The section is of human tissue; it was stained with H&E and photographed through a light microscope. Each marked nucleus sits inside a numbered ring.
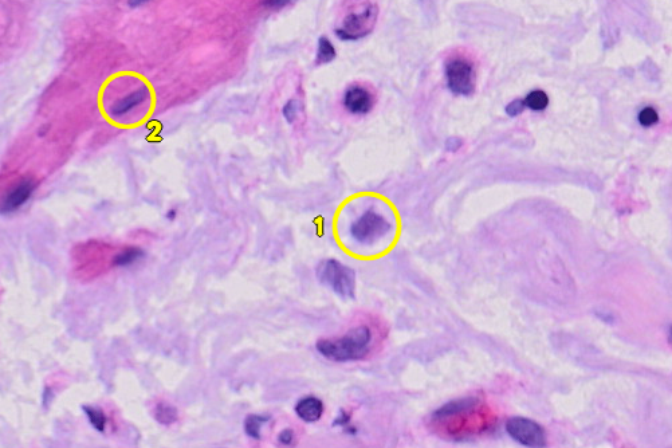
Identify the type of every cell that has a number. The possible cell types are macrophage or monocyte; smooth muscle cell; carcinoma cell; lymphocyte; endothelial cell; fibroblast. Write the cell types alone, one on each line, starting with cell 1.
fibroblast
smooth muscle cell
